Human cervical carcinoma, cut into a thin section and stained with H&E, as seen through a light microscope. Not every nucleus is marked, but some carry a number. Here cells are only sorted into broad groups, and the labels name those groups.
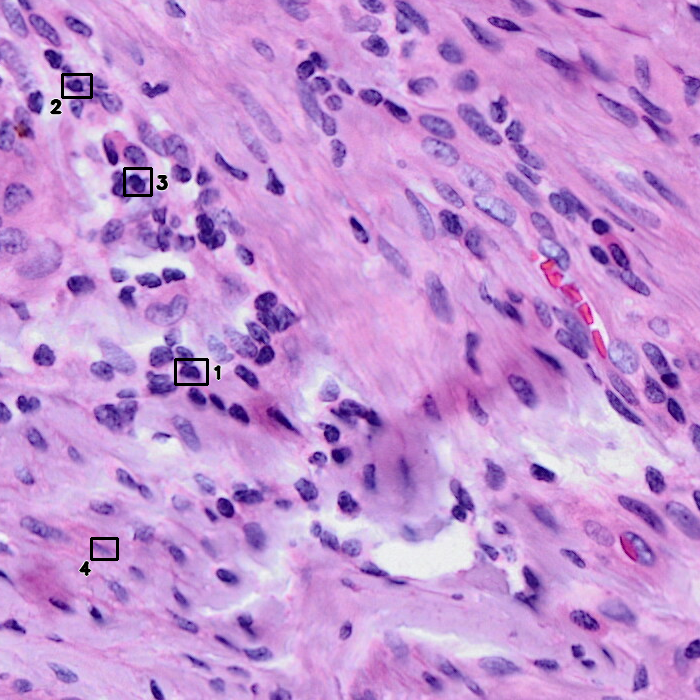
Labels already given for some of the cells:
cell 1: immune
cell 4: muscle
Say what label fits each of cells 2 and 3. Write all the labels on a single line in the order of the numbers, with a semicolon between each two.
immune; immune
